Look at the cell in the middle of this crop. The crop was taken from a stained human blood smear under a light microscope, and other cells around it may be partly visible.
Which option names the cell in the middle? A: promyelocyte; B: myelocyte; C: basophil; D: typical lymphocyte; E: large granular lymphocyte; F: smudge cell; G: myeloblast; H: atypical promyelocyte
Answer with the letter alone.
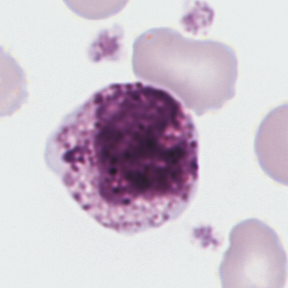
C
